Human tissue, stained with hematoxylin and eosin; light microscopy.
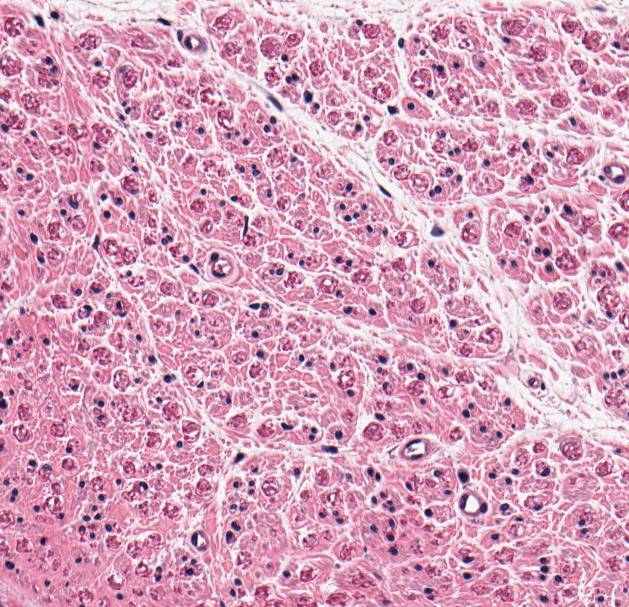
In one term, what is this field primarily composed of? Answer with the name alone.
nerve fascicle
